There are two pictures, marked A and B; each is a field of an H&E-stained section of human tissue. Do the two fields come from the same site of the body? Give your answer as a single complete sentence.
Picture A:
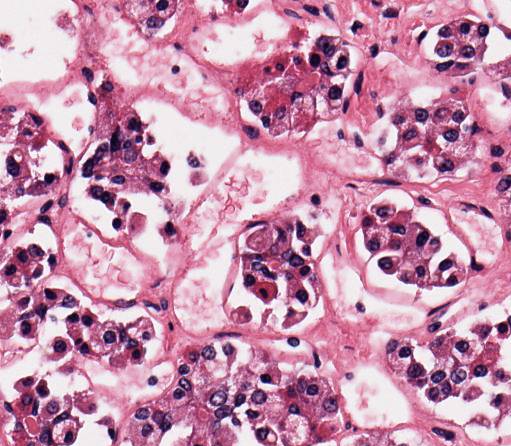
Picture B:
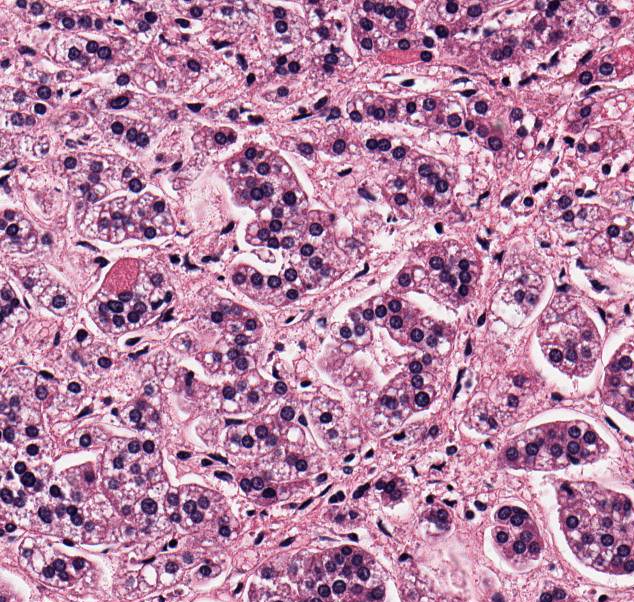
No. Picture A comes from the pituitary, whereas picture B comes from the adrenal gland.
